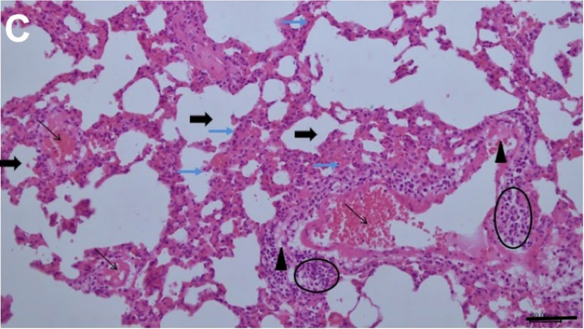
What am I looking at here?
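This is lung tissue in which the alveolar walls are broadly thickened, so the pink septa between the air spaces look wide and crowded with purple nuclei. In the middle a vessel is packed with red blood cells, showing congestion. Next to this vessel, in the surrounding connective tissue, there are dense clusters of small round dark nuclei, an infiltrate of inflammatory cells. The tissue around the vessel also looks pale and loosened, as oedema does. Compared with normal lung, the air spaces here are smaller and less regular.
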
